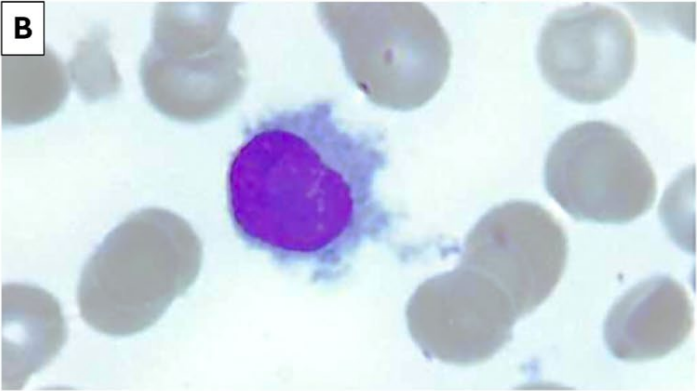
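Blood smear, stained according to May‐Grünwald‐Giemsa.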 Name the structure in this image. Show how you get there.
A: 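Thin surface projections. Fine pale blue hair-like projections extend from the cell edge.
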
